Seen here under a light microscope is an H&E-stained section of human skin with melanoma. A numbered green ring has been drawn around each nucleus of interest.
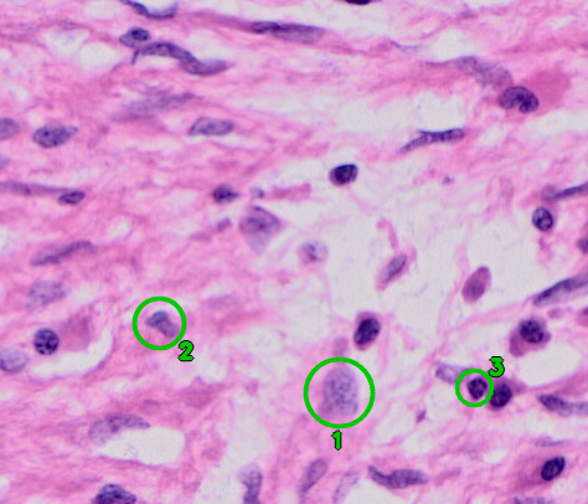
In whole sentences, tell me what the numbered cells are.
Cell 1 is a fibroblast or myofibroblast, cell 2 is a macrophage or monocyte and cell 3 is a plasma cell.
